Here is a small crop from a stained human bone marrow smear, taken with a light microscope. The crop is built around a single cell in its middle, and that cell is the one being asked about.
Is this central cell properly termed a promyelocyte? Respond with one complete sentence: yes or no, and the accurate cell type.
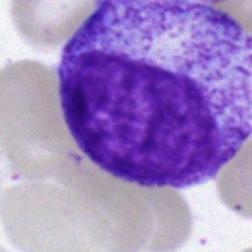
Yes, the cell in the centre is a promyelocyte.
